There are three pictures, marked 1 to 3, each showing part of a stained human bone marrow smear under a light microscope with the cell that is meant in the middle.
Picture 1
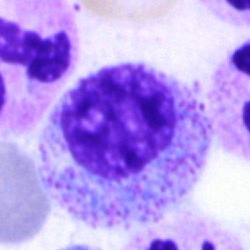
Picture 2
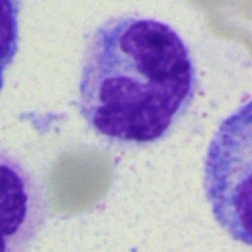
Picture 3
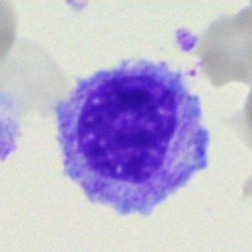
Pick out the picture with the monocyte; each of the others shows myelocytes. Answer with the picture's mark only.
2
